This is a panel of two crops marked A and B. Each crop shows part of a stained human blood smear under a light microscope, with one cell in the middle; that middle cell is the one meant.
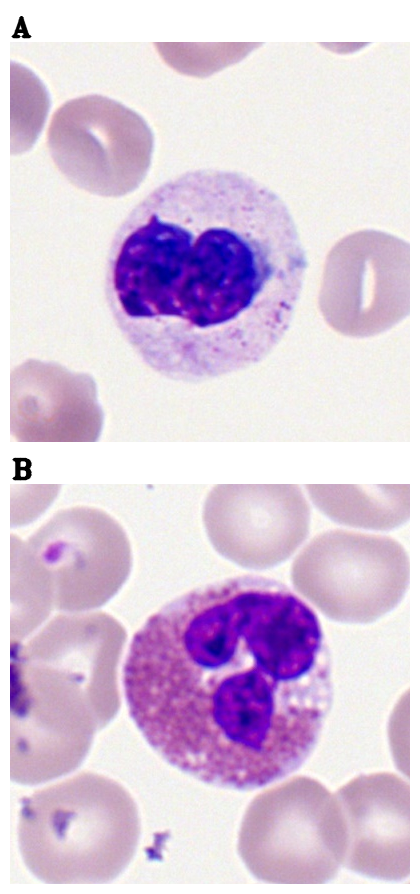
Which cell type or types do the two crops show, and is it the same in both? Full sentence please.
No, crop A displays a segmented neutrophil and crop B displays an eosinophil.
